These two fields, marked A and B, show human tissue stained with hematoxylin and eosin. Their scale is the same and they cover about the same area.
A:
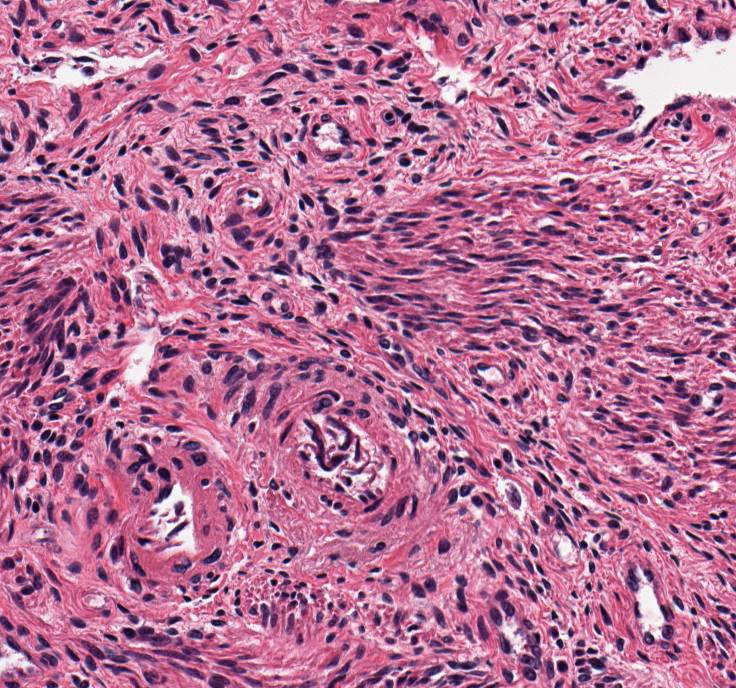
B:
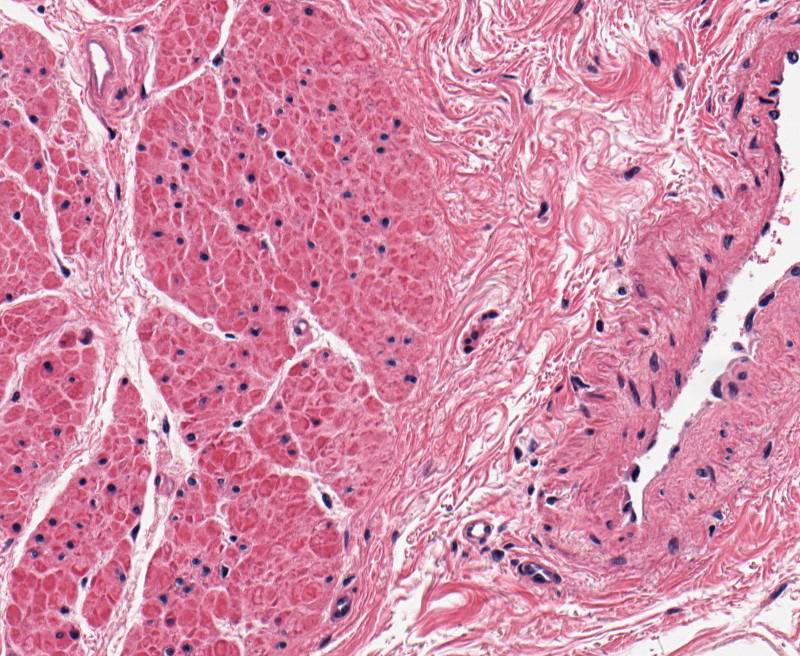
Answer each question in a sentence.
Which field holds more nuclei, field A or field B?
There are more nuclei in field A.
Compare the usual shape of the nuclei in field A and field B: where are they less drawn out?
On the whole the nuclei of field B are rounder than those of field A.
